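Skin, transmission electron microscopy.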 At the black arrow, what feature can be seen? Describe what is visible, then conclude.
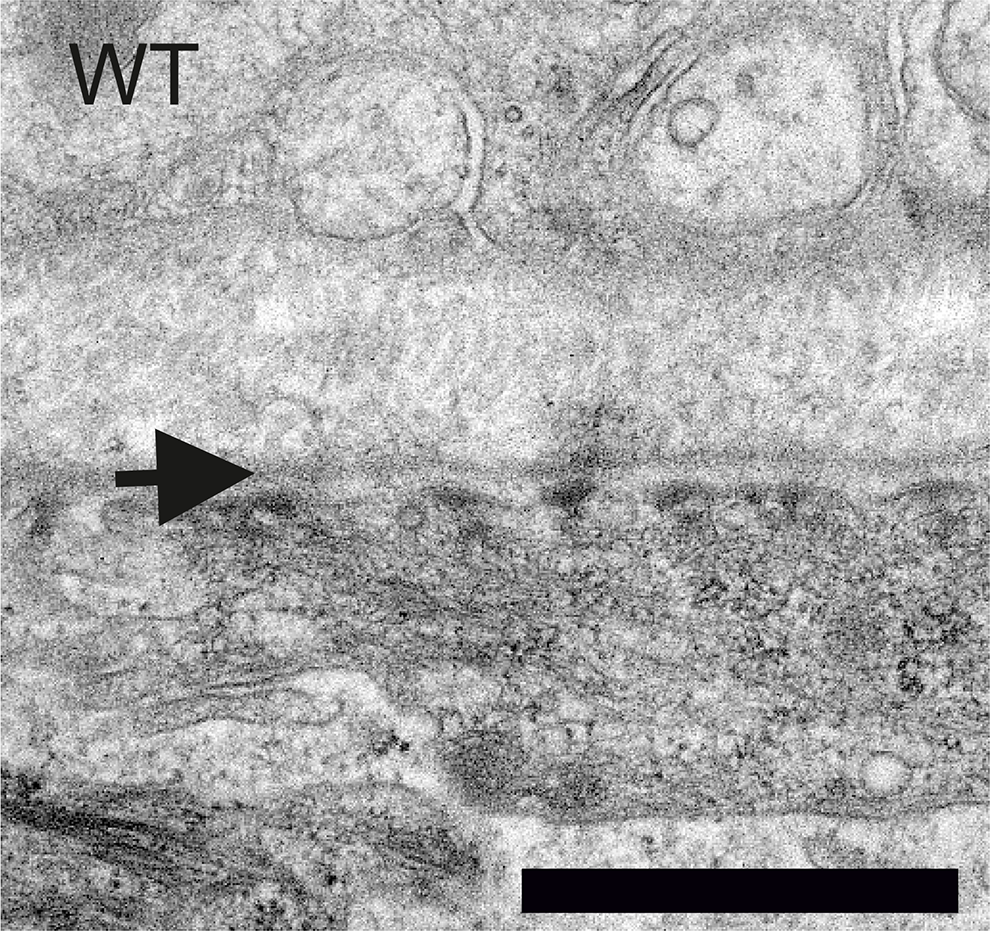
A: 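The arrow points to a thin layer running along a cell border. Pale extracellular space lies on one side and cell cytoplasm on the other. The answer: basement membrane.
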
